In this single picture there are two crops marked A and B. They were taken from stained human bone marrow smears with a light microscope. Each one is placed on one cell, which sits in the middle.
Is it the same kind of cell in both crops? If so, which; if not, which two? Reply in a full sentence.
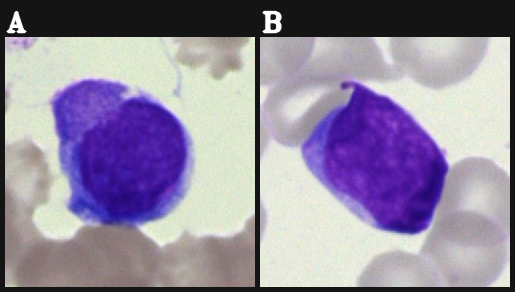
Yes, both crops contain blasts at their centres.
